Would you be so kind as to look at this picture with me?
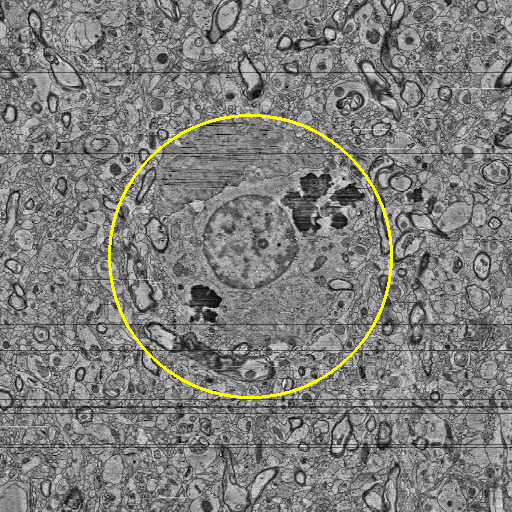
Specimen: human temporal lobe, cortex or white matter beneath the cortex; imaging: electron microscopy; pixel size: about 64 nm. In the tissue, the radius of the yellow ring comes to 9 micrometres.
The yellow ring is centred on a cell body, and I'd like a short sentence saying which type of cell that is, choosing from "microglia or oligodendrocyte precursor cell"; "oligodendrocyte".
The cell body in the ring belongs to an oligodendrocyte.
